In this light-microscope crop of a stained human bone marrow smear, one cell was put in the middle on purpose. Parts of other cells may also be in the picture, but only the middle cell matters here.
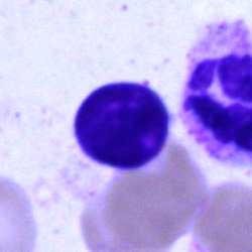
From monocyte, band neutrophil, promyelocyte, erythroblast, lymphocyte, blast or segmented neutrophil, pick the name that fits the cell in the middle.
lymphocyte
